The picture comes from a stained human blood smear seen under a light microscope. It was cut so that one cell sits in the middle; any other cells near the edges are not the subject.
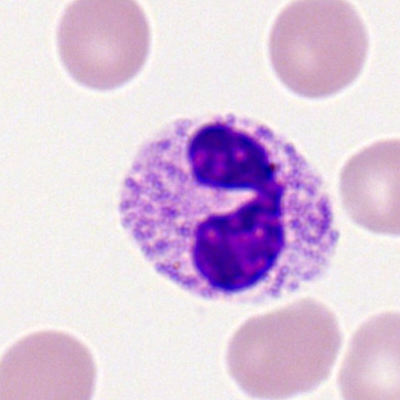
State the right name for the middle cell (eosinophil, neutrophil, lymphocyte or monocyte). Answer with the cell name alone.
neutrophil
